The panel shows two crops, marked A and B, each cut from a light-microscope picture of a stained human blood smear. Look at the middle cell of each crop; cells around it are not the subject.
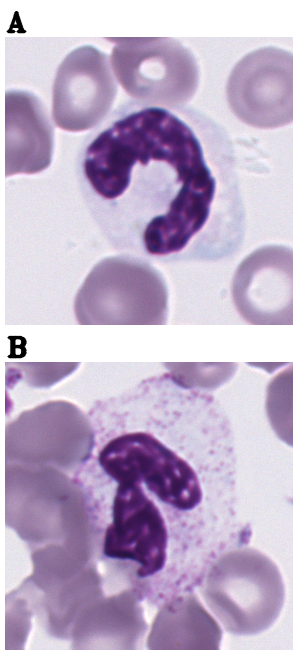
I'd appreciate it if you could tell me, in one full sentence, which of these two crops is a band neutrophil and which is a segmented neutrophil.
Crop A here is a band neutrophil, and crop B is a segmented neutrophil.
